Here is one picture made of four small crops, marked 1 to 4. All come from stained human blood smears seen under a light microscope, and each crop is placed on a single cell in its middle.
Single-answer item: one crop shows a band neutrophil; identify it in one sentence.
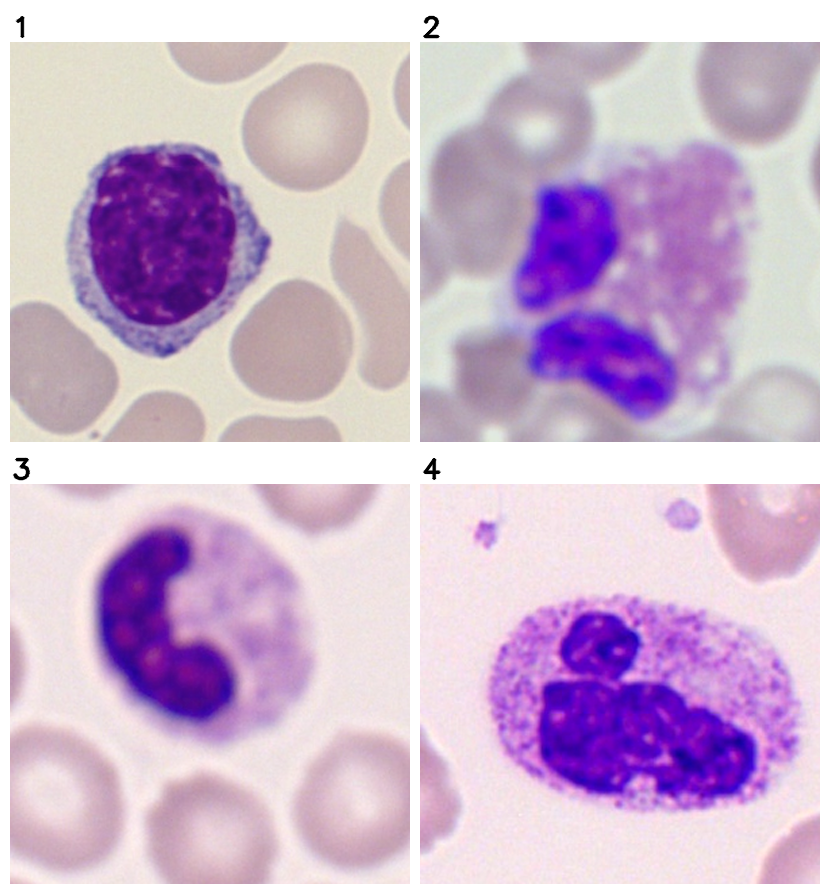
Among these crops, crop 3 holds a band neutrophil.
